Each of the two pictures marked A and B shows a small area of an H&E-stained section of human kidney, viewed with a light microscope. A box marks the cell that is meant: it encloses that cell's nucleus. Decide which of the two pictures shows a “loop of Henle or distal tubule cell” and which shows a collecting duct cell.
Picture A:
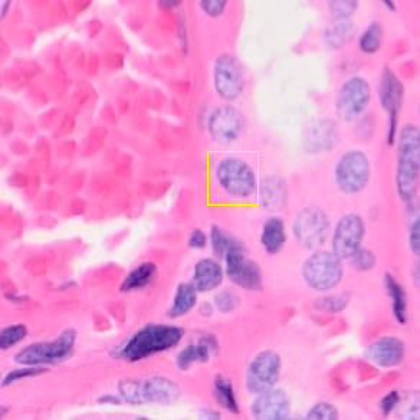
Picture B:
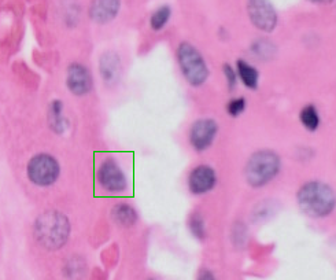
A: collecting duct cell
B: loop of Henle or distal tubule cell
